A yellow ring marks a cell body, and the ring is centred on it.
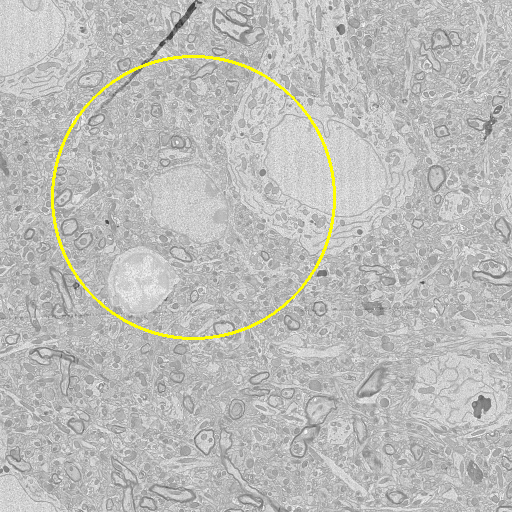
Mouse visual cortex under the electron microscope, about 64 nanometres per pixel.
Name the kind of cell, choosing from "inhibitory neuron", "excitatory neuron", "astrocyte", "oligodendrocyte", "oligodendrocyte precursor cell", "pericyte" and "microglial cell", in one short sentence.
The marked cell body belongs to an astrocyte.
